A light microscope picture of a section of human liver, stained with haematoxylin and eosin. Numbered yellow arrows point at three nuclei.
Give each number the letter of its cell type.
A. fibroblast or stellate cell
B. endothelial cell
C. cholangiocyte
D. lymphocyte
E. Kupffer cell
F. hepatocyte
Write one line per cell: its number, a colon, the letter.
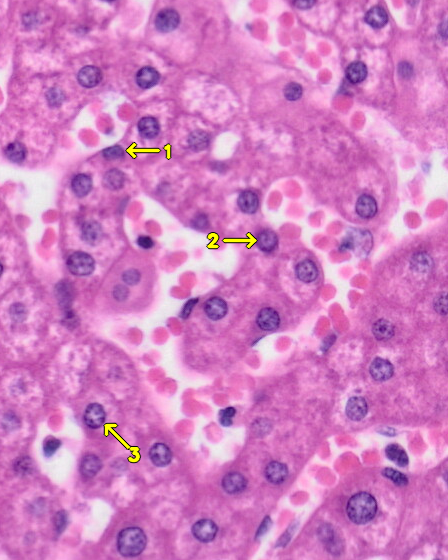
1: A
2: F
3: F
